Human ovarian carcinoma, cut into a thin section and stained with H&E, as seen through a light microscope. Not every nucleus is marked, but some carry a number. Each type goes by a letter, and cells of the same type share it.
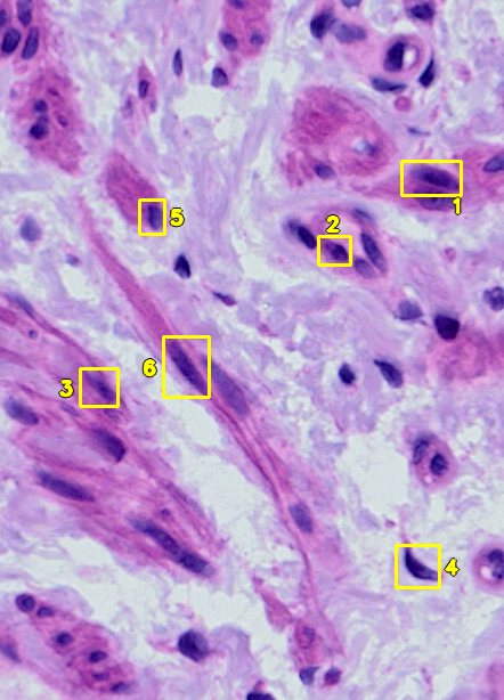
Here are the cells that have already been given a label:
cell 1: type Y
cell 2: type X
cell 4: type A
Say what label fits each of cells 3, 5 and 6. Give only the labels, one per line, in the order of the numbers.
type Y
type Y
type Y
